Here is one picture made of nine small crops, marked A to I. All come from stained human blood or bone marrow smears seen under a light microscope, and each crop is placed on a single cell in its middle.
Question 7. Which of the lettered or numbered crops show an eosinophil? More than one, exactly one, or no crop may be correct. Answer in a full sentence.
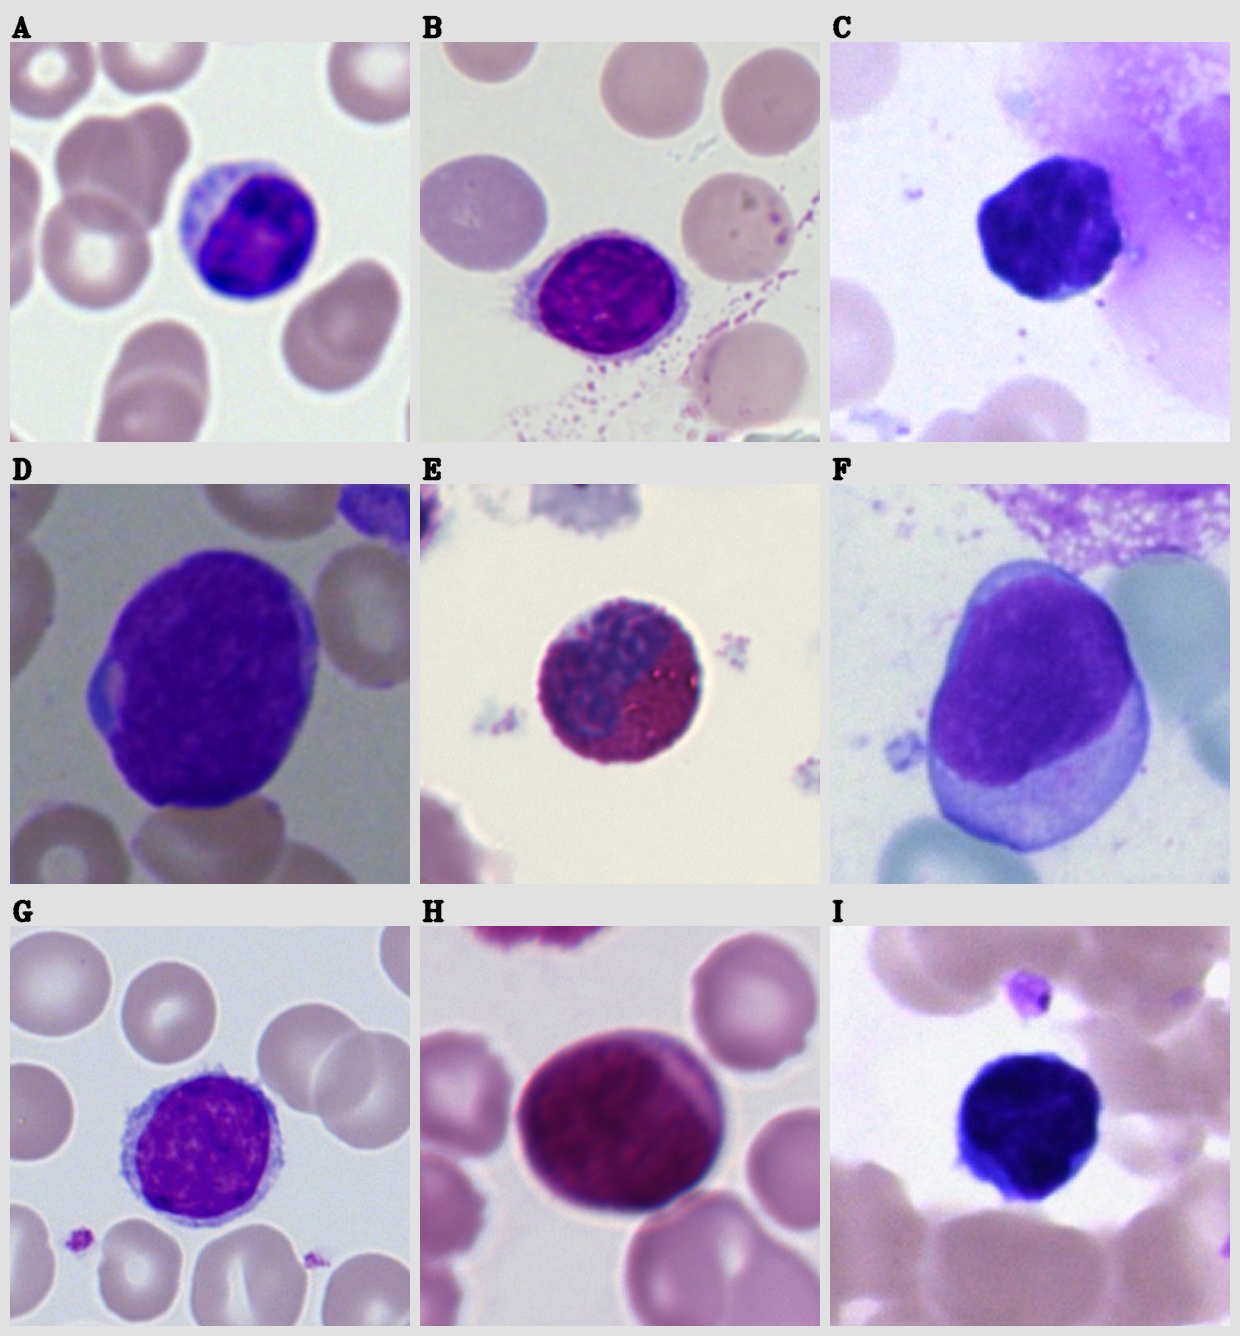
Out of the whole set, crop E is the only crop depicting an eosinophil.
